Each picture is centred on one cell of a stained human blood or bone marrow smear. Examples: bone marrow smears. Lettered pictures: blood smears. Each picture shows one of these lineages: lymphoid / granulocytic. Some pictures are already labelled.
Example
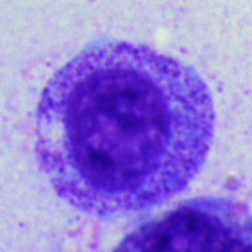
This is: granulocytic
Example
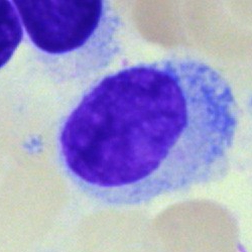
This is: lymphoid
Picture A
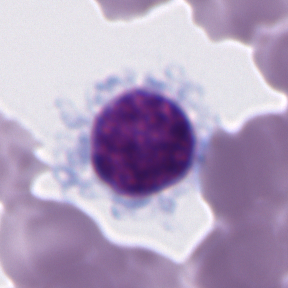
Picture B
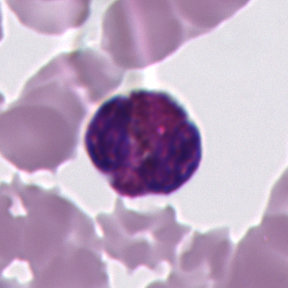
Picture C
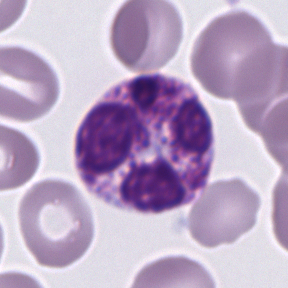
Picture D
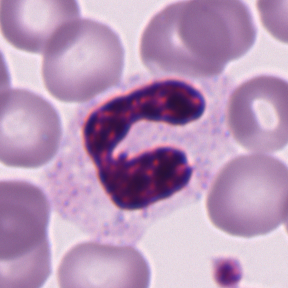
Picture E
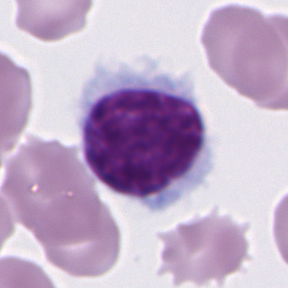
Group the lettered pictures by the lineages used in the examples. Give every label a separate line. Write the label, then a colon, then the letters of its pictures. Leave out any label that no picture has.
lymphoid: A, E
granulocytic: B, C, D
